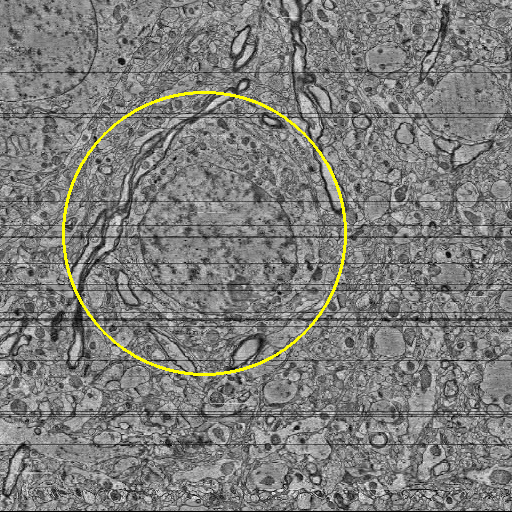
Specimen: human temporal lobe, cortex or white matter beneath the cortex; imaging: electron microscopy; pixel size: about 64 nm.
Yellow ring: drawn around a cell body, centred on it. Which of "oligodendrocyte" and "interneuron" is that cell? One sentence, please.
That cell body is from an interneuron.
